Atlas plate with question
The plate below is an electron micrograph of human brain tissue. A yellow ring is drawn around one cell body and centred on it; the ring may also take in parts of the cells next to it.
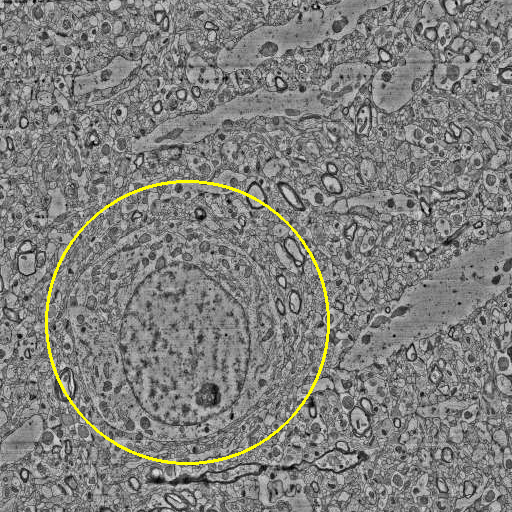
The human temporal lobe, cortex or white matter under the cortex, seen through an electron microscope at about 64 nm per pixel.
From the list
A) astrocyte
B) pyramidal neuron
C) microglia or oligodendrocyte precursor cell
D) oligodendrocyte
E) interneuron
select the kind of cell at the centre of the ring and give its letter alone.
E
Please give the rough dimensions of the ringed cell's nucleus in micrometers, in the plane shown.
Roughly 10 micrometres by 8 micrometres, in this plane.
